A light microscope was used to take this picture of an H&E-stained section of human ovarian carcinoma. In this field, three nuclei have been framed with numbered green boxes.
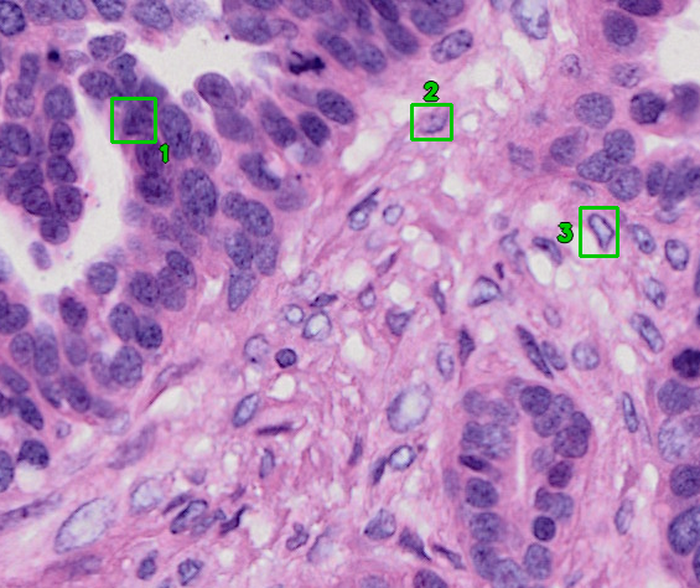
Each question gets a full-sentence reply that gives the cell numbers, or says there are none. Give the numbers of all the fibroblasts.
By cell type, the cells numbered 2 and 3 are fibroblasts.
